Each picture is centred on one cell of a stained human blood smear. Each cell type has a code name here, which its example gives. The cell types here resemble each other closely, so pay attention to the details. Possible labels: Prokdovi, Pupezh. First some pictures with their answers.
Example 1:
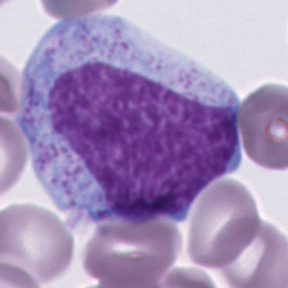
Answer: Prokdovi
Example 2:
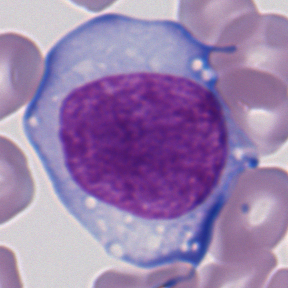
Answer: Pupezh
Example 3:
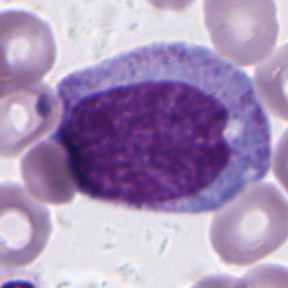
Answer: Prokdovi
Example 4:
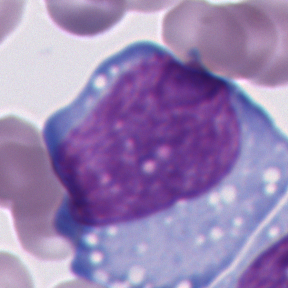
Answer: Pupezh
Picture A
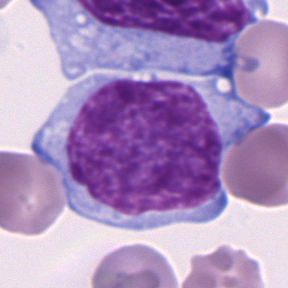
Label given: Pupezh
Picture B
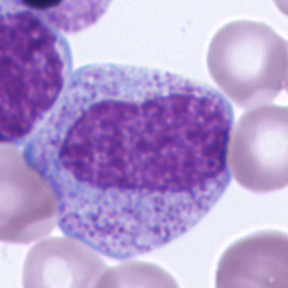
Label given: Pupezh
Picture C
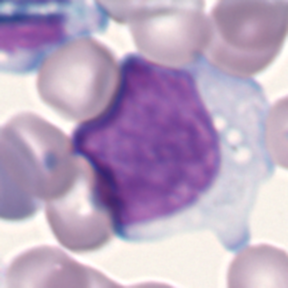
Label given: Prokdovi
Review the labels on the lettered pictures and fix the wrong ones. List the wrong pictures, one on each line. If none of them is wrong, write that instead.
B: Prokdovi, not Pupezh
C: Pupezh, not Prokdovi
